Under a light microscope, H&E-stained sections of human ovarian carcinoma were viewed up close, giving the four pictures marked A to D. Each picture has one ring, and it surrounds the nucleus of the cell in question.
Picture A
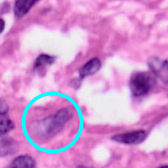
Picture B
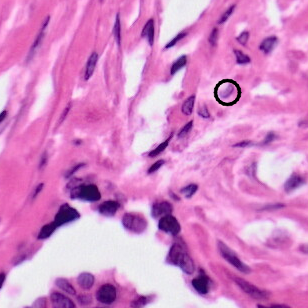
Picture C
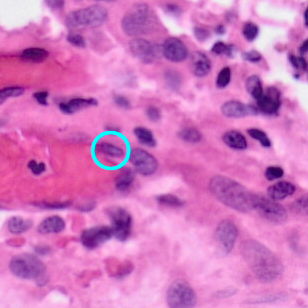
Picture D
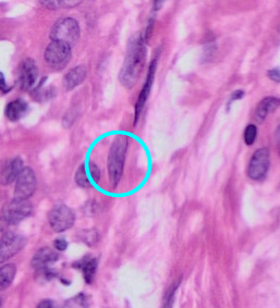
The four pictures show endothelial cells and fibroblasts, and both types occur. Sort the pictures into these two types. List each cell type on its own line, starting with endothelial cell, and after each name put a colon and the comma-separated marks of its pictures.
endothelial cell: A, C, D
fibroblast: B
